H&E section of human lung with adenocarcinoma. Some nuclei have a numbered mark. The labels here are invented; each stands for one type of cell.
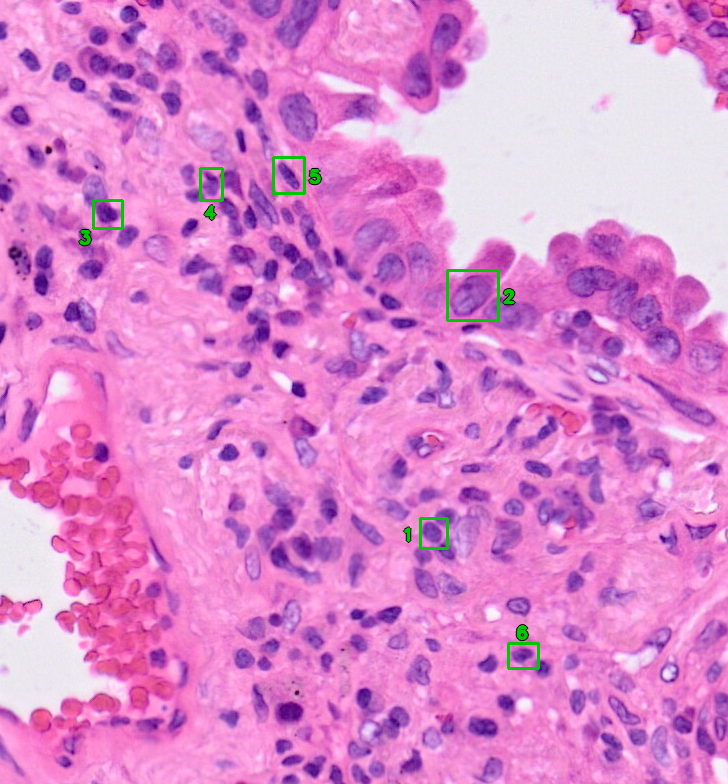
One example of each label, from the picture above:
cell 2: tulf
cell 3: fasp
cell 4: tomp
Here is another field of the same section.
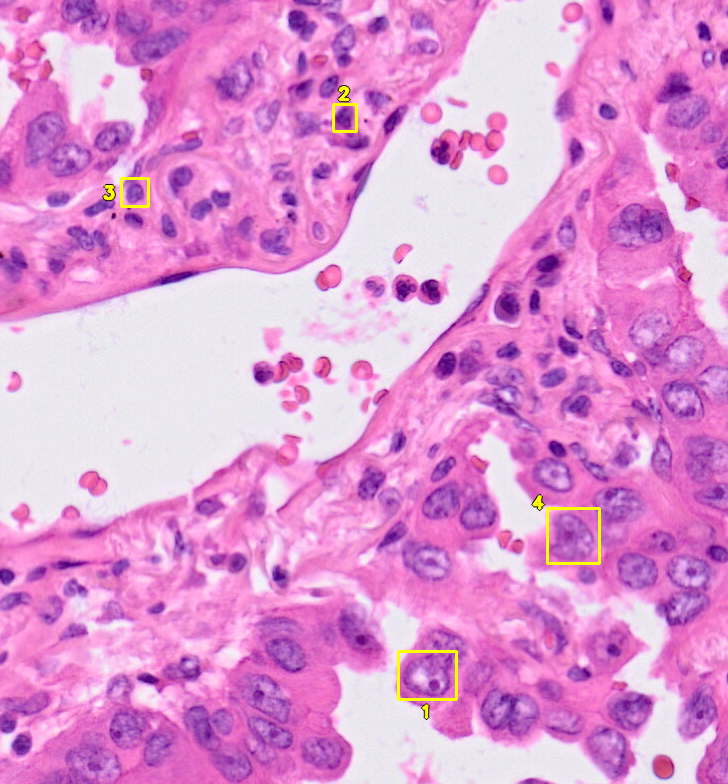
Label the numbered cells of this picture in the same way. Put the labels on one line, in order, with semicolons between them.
tulf; fasp; tomp; tulf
